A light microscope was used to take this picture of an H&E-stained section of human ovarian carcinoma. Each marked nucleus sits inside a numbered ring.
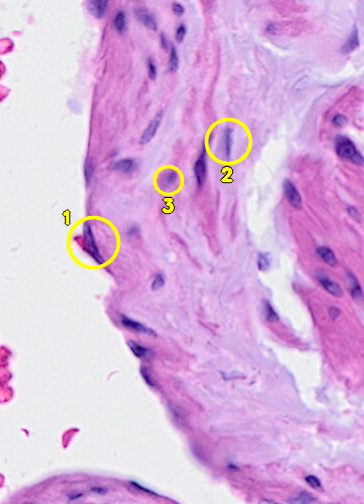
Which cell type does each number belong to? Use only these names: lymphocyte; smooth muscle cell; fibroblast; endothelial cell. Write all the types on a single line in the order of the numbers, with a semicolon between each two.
endothelial cell; fibroblast; smooth muscle cell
